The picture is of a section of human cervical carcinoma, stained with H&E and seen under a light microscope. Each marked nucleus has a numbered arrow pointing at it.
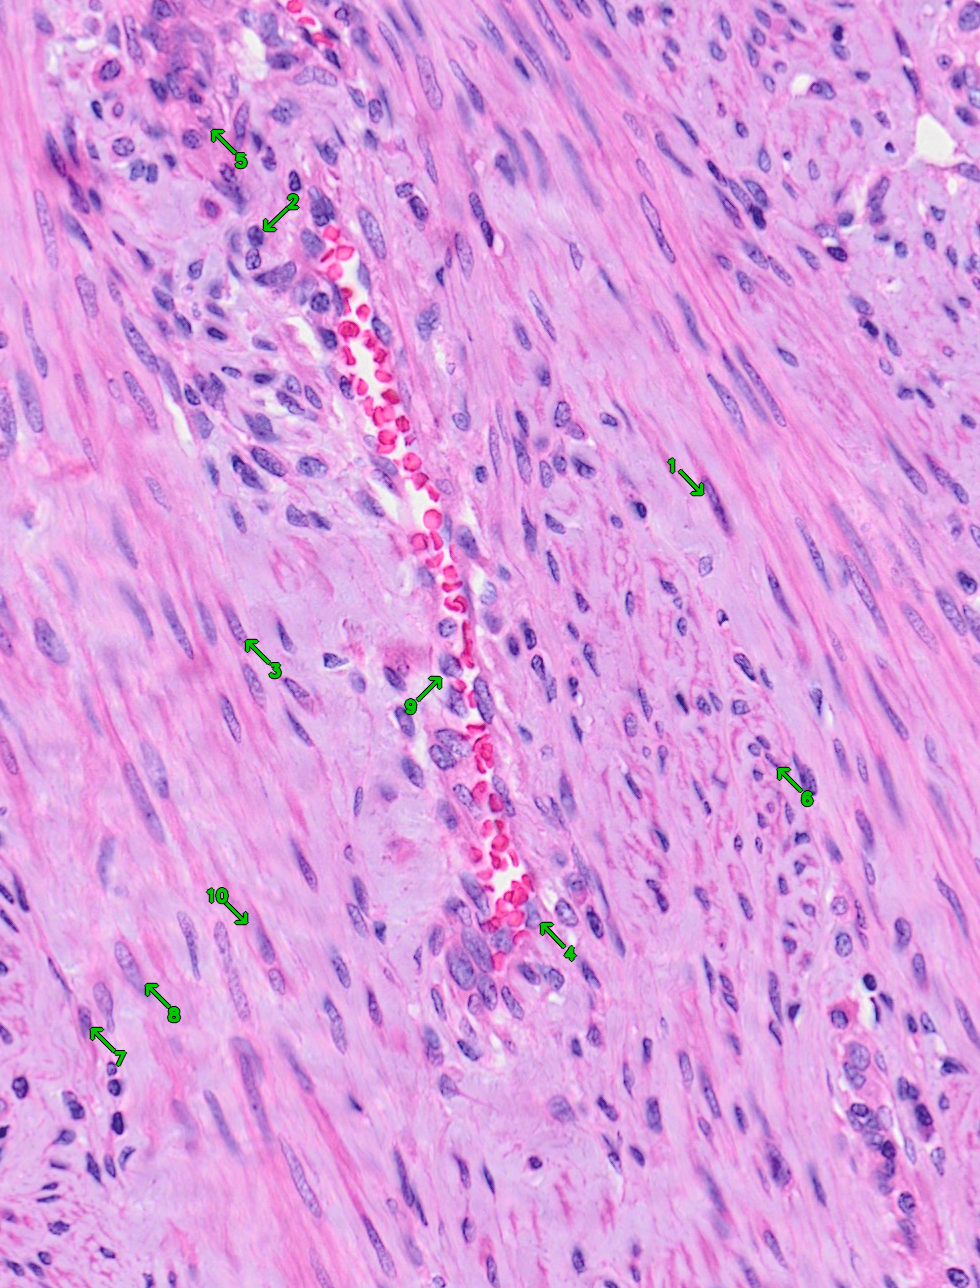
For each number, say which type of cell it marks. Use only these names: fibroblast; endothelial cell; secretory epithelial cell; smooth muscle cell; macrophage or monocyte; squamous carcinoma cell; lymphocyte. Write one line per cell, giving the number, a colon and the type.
1: smooth muscle cell
2: lymphocyte
3: smooth muscle cell
4: endothelial cell
5: endothelial cell
6: smooth muscle cell
7: smooth muscle cell
8: smooth muscle cell
9: endothelial cell
10: smooth muscle cell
